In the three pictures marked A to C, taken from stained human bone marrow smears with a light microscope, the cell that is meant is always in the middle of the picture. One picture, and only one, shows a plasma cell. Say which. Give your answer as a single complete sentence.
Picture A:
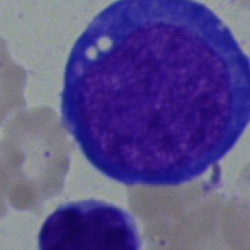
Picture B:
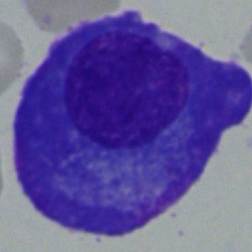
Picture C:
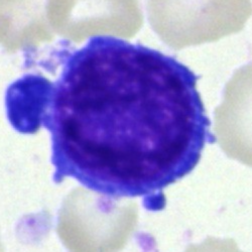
The cell in picture B is the plasma cell.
